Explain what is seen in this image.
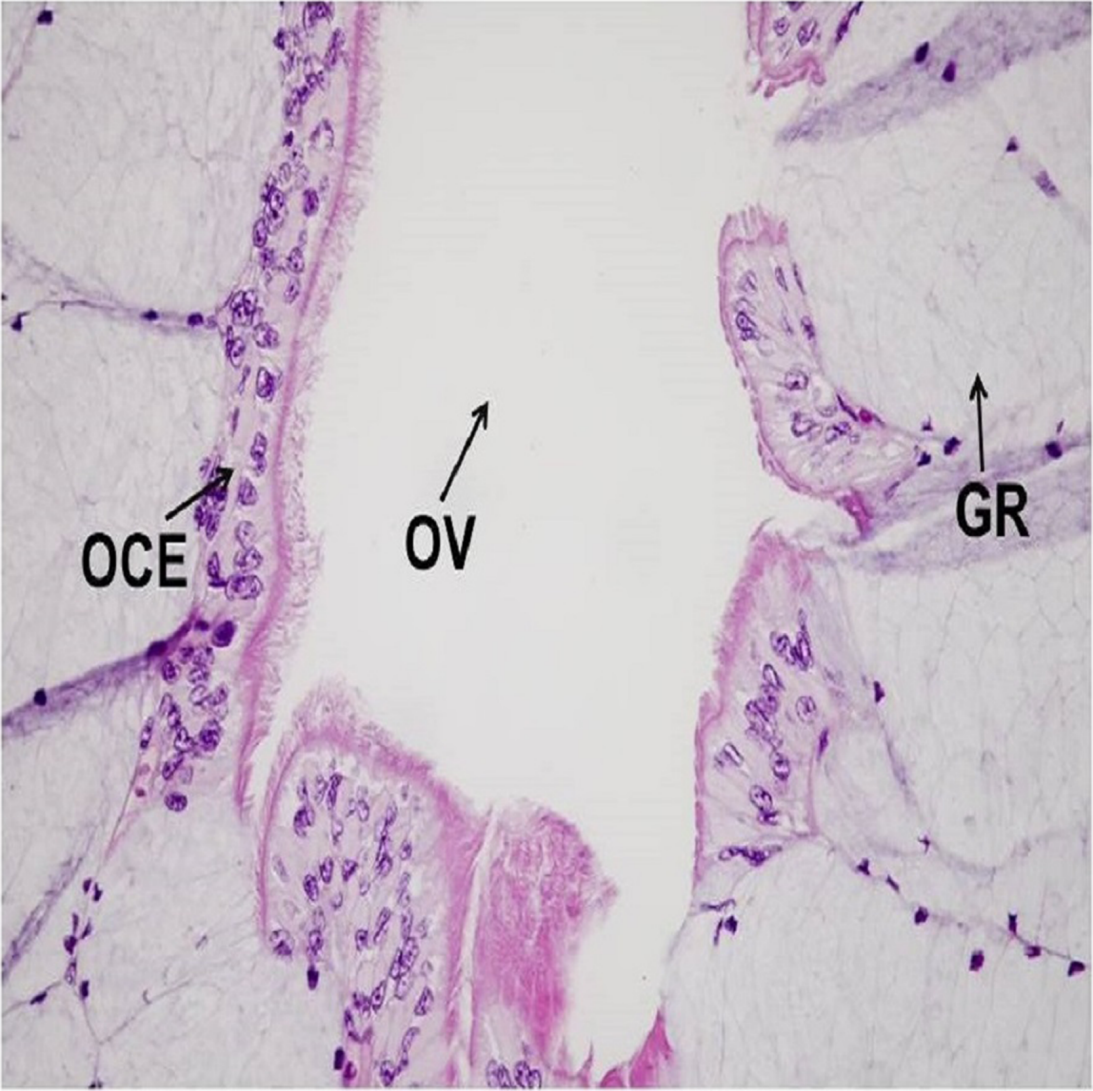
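This is a section of oviduct with a wide, empty central lumen lined by folds of ciliated epithelium and surrounded by a pale glandular region. The epithelial cells are tall and columnar. Their oval, purple nuclei lie at several levels within the lining. A bright pink apical border faces the lumen and carries a fine fringe of cilia. Outside the epithelium, the glandular region is made of large, very pale, finely reticulated compartments, with small, dark, flattened nuclei scattered along their thin pink-to-violet partitions.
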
